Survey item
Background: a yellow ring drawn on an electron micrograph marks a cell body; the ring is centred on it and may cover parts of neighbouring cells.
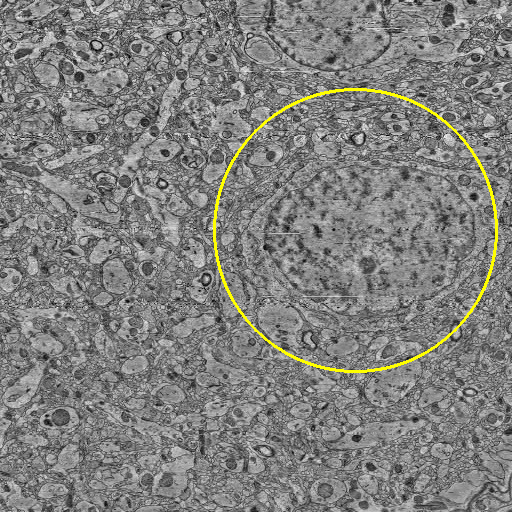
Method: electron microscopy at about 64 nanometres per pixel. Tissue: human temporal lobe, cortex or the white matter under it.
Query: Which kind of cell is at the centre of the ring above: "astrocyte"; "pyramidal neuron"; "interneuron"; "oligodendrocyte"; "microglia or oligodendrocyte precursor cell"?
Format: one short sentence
The cell in the middle of the ring is an interneuron.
